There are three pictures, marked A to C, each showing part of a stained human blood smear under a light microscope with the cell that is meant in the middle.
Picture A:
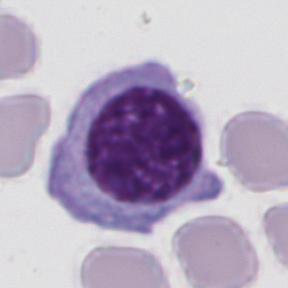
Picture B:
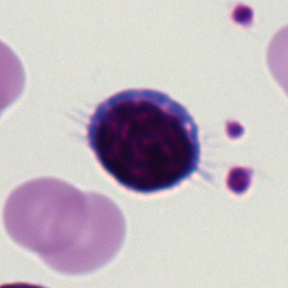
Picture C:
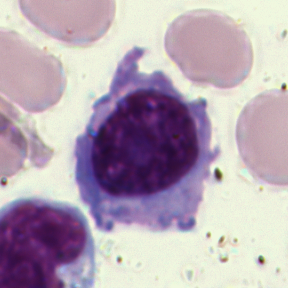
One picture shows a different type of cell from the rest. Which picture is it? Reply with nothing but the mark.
B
